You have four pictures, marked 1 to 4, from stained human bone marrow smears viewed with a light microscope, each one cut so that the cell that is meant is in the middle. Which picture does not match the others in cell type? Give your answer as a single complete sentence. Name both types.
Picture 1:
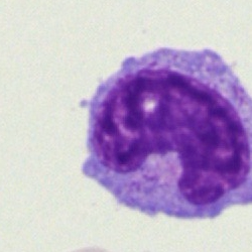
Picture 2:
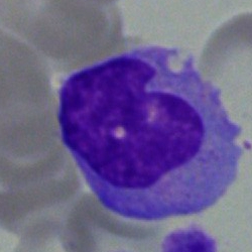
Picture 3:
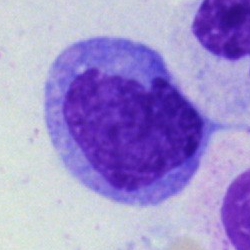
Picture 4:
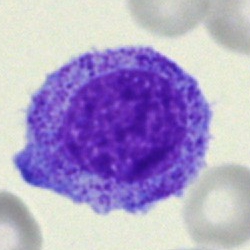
The others show monocytes, but picture 4 shows a promyelocyte.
